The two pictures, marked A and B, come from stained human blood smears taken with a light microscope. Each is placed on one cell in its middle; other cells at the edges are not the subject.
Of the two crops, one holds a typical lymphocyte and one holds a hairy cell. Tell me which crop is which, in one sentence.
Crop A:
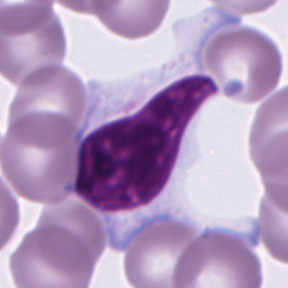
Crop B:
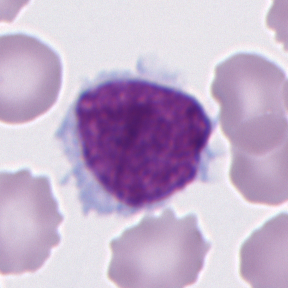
Well, crop A is a typical lymphocyte, and crop B is a hairy cell.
